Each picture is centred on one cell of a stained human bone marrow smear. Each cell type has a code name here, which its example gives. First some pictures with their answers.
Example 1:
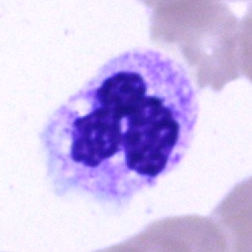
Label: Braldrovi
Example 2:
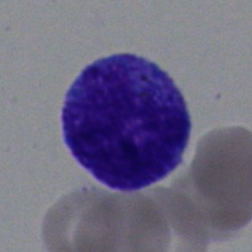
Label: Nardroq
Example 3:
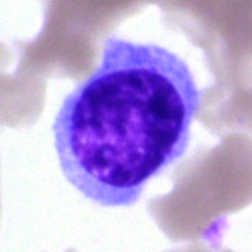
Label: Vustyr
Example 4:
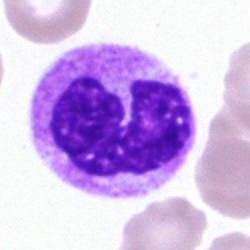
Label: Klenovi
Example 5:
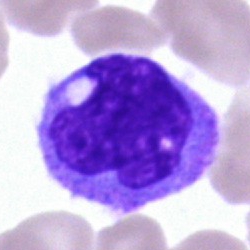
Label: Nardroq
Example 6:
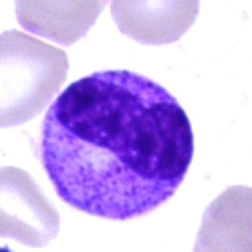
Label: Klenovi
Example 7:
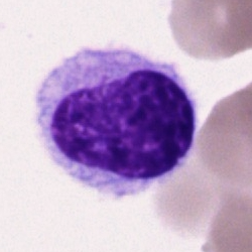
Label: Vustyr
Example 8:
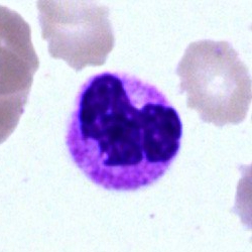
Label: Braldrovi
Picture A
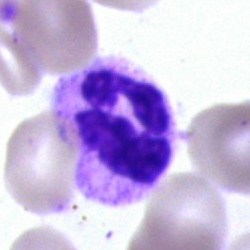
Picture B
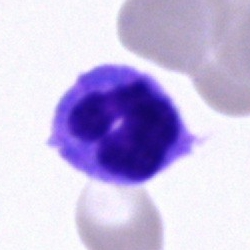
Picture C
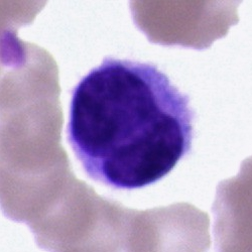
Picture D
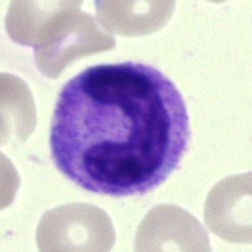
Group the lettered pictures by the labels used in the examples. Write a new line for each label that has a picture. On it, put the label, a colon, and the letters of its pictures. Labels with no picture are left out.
Braldrovi: A
Nardroq: B
Vustyr: C
Klenovi: D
